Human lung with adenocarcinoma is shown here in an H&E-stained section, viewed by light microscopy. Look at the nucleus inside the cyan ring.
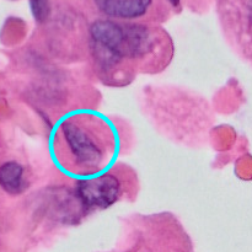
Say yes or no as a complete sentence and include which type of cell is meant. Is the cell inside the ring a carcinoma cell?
Yes, the cell inside the ring is, by its type, a carcinoma cell.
